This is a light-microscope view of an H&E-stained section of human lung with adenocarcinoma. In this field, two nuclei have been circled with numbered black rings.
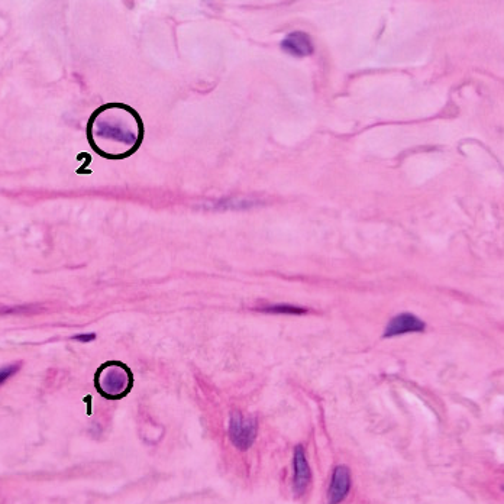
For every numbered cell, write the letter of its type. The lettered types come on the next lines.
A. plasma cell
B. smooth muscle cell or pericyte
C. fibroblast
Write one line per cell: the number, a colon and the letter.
1: B
2: C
